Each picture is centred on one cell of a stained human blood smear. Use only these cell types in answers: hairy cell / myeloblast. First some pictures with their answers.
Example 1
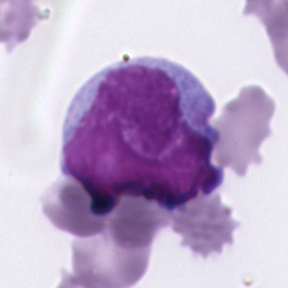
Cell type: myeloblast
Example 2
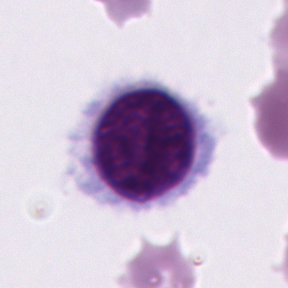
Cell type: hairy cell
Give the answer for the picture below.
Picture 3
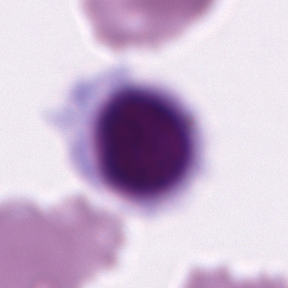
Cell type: hairy cell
